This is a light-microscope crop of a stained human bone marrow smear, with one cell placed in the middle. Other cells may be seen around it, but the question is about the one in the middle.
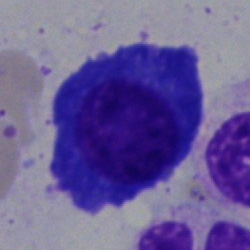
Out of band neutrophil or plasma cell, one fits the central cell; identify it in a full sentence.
Here the centrally located cell is a plasma cell.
